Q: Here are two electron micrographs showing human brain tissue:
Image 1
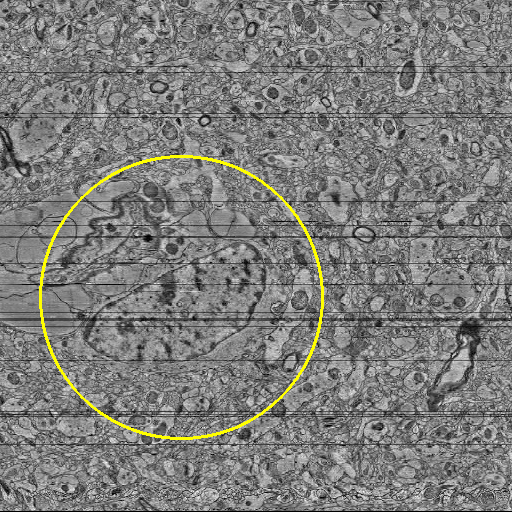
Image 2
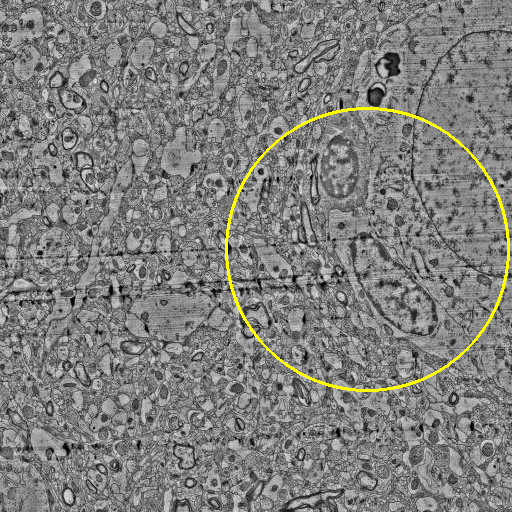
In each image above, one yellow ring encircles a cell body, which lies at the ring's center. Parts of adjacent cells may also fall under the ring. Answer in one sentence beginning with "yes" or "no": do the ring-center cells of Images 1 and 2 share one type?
Yes, in Images 1 and 2, the ring-center cells are both of one type.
